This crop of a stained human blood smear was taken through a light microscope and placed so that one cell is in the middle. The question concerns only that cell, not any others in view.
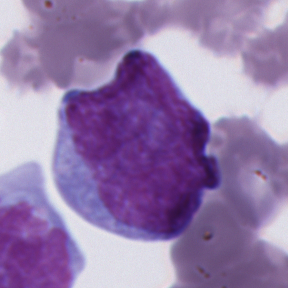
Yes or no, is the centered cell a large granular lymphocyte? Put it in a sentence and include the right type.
No, the cell at the centre of the crop corresponds to a myeloblast, not a large granular lymphocyte.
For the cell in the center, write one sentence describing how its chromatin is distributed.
Its chromatin is finely dispersed rather than coarsely clumped.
